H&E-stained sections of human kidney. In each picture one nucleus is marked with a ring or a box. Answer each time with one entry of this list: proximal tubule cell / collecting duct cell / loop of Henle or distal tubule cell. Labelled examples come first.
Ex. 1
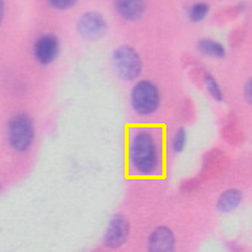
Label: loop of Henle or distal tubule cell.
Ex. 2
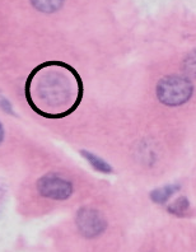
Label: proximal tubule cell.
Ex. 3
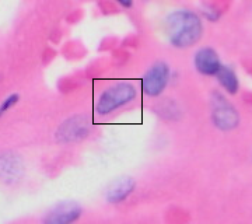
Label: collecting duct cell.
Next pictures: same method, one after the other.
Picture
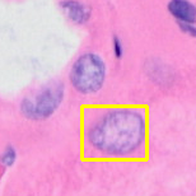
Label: proximal tubule cell.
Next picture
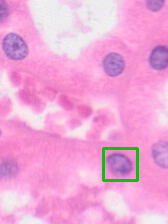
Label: proximal tubule cell.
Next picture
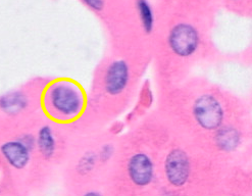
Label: loop of Henle or distal tubule cell.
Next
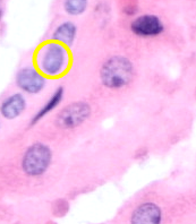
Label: collecting duct cell.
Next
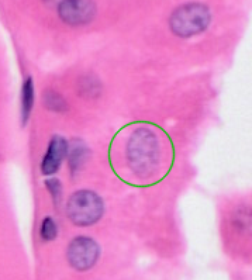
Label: proximal tubule cell.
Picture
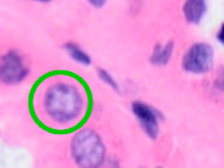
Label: proximal tubule cell.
